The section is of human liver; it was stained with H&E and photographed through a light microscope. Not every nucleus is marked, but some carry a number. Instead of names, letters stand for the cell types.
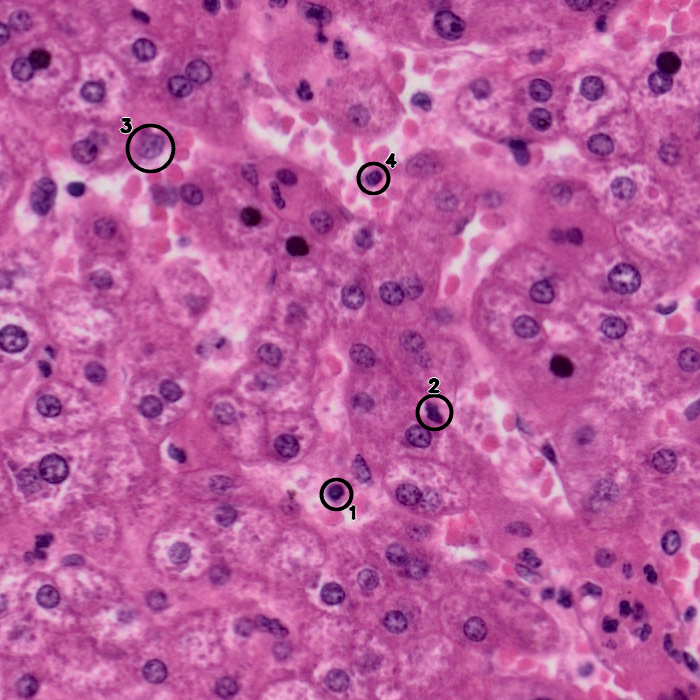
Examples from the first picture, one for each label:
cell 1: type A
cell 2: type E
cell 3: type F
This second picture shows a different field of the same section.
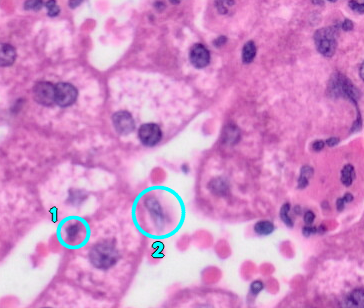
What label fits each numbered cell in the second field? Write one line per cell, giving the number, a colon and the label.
1: type E
2: type F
